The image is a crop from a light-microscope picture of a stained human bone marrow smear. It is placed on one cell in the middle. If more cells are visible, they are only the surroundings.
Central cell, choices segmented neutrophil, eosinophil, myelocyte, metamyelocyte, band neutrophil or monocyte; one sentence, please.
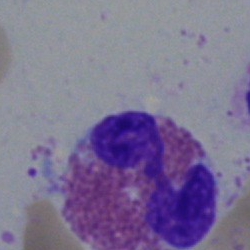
In the middle of this smear crop, the cell is an eosinophil.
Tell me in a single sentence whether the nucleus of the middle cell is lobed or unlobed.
In short, this nucleus is segmented into two or more parts.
